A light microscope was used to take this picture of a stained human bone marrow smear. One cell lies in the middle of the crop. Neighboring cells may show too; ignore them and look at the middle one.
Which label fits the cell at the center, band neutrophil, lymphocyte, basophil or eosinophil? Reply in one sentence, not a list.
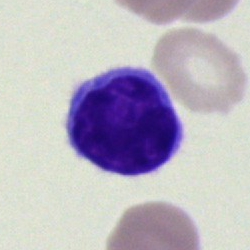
Where the crop is centred, there is a lymphocyte.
